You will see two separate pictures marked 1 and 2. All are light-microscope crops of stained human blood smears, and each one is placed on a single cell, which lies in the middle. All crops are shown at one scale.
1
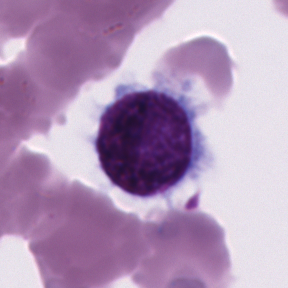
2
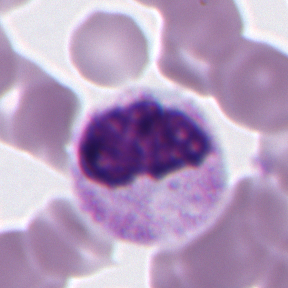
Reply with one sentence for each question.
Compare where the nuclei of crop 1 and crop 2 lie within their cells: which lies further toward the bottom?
The nucleus in crop 1 lies further toward the bottom of its cell.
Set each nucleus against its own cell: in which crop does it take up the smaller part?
It is the cell in crop 2 that is filled less by its nucleus.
